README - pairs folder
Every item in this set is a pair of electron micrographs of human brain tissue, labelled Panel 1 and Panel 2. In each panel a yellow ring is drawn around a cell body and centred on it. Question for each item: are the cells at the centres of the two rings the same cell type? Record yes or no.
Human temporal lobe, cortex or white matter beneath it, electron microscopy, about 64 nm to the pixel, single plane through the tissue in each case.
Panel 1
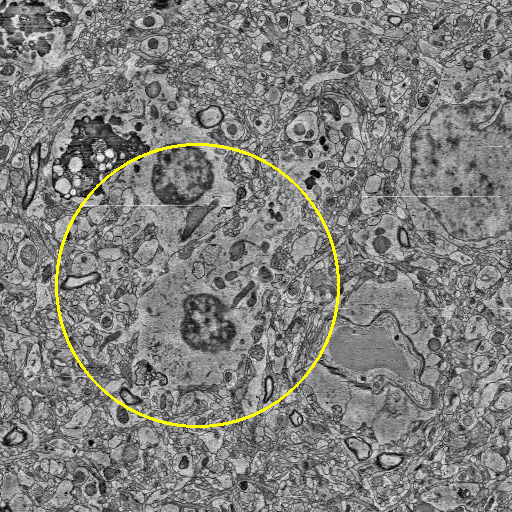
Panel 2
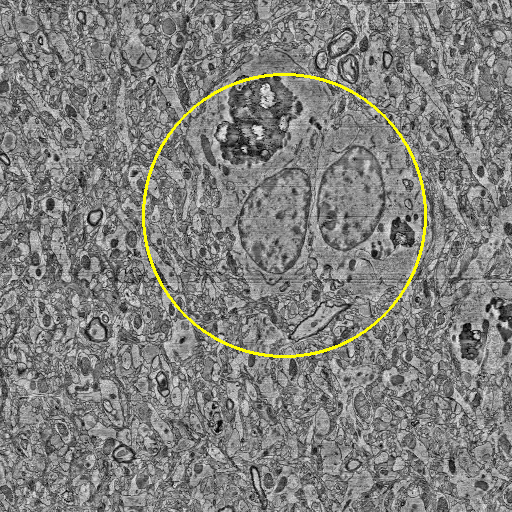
yes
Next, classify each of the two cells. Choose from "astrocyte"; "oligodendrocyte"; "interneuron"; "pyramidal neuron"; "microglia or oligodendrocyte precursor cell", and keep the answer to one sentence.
Each of the ringed cells, first and second, is an astrocyte.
